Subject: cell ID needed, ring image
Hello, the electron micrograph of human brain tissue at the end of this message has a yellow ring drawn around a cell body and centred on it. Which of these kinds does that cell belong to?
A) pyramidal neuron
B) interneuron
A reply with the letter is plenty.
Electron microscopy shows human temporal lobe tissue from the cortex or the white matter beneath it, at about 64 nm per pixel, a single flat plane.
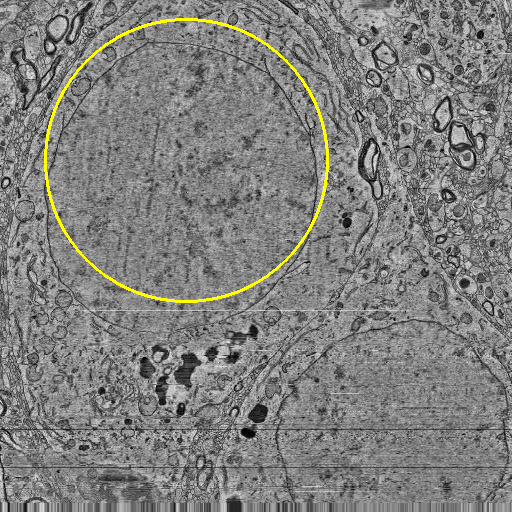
A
